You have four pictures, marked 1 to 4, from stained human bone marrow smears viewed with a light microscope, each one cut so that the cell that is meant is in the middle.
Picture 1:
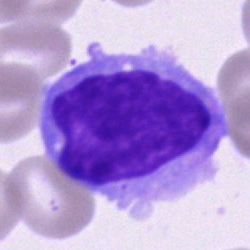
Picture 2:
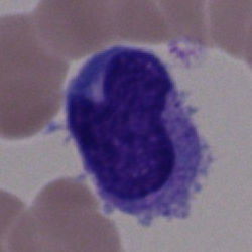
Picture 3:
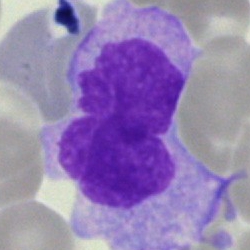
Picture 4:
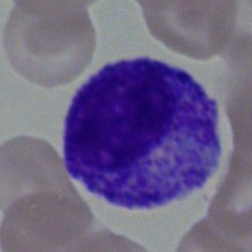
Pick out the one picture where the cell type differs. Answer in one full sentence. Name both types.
All pictures except 4 show monocytes; picture 4 shows a promyelocyte.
